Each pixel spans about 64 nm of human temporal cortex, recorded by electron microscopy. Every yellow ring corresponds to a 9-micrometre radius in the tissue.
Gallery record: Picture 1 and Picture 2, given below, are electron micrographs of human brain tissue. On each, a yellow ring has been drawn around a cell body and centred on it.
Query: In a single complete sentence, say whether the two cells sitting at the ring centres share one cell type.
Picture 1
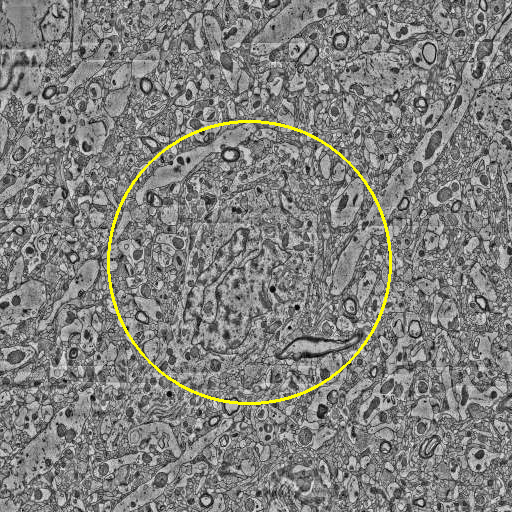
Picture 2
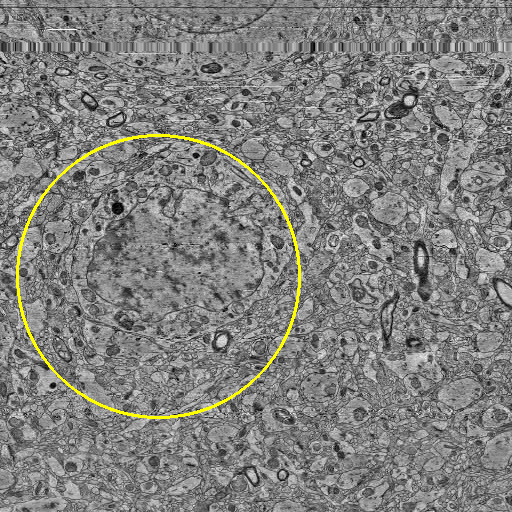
Yes, in both pictures the cell at the ring's centre is of one and the same type.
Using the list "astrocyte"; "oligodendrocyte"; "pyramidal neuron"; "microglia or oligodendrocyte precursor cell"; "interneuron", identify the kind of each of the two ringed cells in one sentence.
Each cell at the centre of a ring is an interneuron.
